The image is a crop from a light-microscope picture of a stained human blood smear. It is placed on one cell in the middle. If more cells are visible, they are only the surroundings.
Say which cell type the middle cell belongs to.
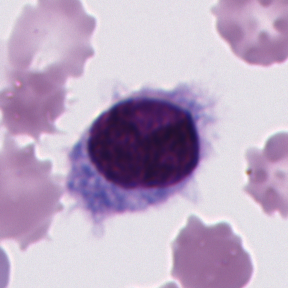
hairy cell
